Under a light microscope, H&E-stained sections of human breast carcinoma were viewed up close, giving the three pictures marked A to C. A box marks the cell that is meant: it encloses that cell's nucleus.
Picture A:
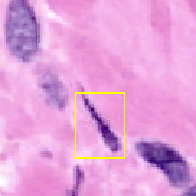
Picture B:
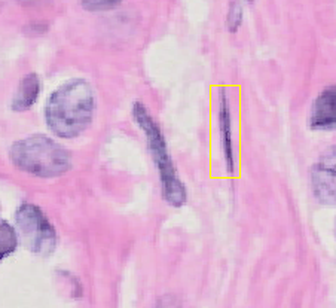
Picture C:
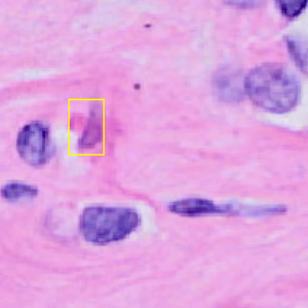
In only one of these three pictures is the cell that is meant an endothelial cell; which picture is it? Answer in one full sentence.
The cell in picture C is the endothelial cell.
